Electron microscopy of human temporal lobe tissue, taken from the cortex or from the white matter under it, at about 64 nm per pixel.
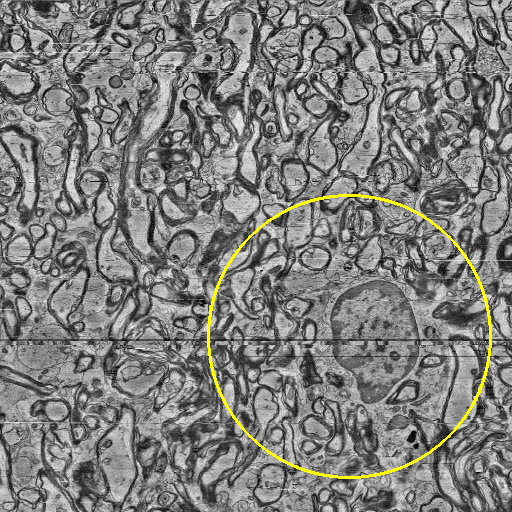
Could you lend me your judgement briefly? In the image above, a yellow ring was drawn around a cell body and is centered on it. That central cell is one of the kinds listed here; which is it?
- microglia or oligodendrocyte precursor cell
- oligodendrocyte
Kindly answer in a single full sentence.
Going by the list, a microglial cell or oligodendrocyte precursor cell is the kind at the ring's center in the picture.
